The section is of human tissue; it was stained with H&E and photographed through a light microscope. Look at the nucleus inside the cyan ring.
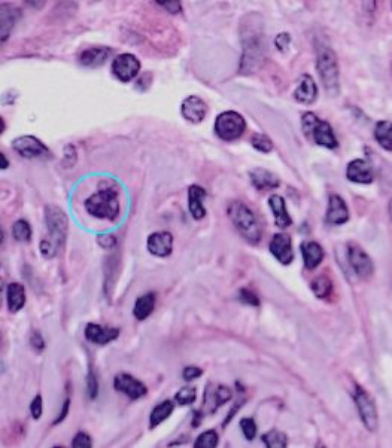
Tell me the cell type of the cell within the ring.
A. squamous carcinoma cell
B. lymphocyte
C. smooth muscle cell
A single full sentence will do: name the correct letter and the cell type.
It is option B that correctly calls the cell within the ring a lymphocyte.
